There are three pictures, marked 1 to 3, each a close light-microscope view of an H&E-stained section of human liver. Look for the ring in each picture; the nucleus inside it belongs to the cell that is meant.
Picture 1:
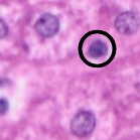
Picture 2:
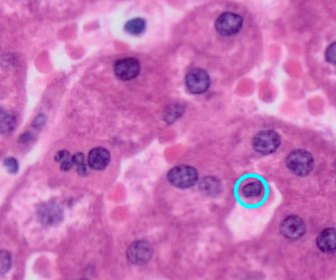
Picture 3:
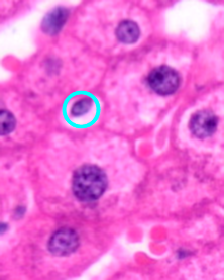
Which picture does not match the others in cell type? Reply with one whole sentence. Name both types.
All pictures except 1 show Kupffer cells; picture 1 shows a lymphocyte.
